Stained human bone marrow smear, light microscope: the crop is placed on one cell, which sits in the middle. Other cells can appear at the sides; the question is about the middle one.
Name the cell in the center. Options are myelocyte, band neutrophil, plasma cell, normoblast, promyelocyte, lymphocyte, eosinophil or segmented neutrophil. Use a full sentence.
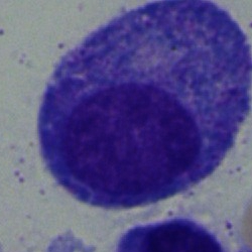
Here the cell in the middle is a promyelocyte.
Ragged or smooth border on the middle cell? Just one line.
You can see a smooth boundary, with no projections sticking out.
